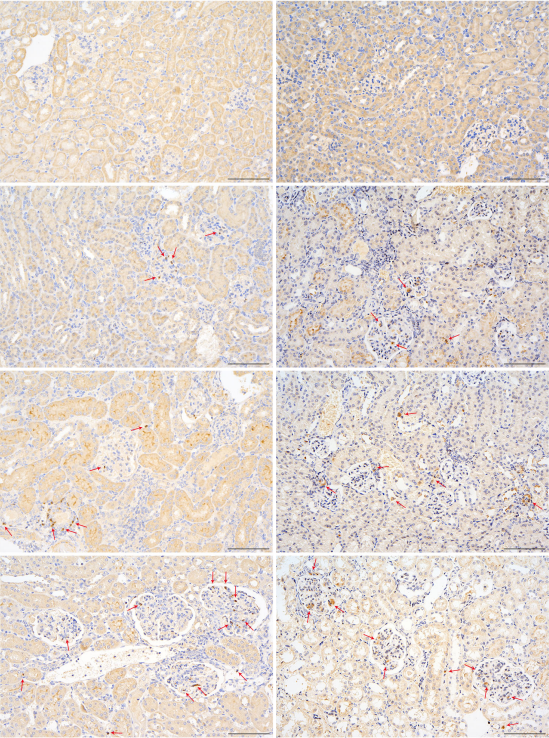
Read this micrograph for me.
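Sections of kidney cortex show rounded glomeruli lying among cross-cut tubules, whose cells have pale tan cytoplasm and blue nuclei. In the upper row almost no cells are stained dark brown. In the lower rows scattered dark brown cells, marked by red arrows, lie inside and around glomeruli and in the interstitium between tubules, and they are more numerous in the lowest row.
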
